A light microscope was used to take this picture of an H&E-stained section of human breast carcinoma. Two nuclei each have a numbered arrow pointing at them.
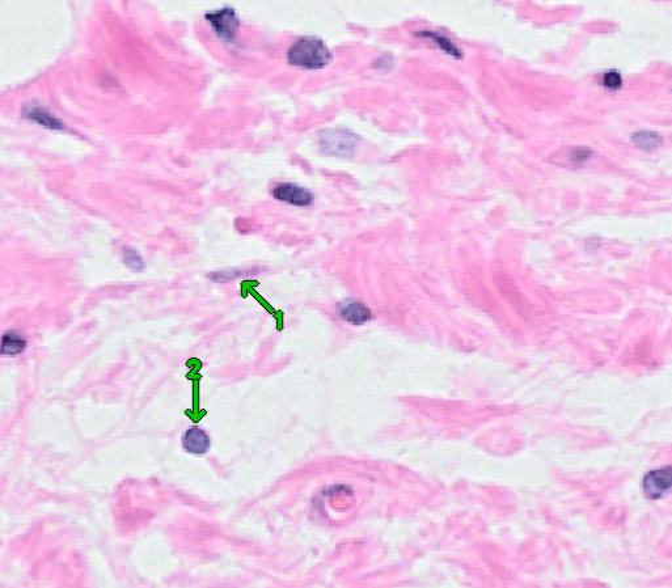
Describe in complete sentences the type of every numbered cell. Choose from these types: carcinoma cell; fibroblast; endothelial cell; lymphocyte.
Cell 1 is a fibroblast and cell 2 is a lymphocyte.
